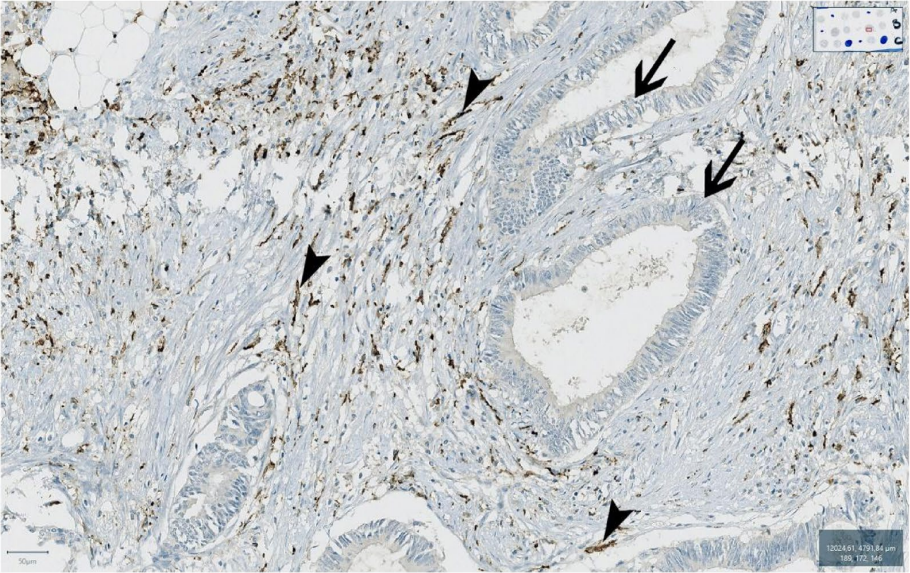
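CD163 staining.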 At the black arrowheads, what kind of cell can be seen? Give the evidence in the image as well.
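The arrowheads point to elongated brown-stained cells. The brown cells are scattered through fibrous stroma. The brown cells align with the stromal fibres. That points to this answer: spindle-shaped macrophages.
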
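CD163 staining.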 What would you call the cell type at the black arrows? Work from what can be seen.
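Tumor cells. The arrows point to columnar epithelium lining large glands. The epithelium has crowded, elongated blue nuclei. The epithelium is unstained.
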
